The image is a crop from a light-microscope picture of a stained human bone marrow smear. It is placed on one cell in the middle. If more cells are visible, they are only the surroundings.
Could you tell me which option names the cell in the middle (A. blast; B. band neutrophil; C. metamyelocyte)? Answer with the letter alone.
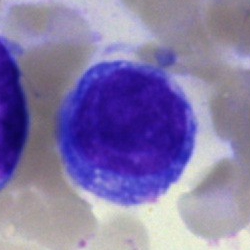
A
